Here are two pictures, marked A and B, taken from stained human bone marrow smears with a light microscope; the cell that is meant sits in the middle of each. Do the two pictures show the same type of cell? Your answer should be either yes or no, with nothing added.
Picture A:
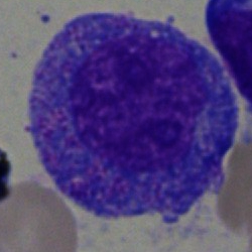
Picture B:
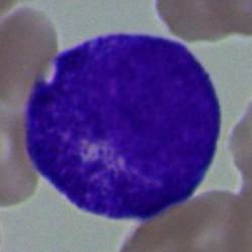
yes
